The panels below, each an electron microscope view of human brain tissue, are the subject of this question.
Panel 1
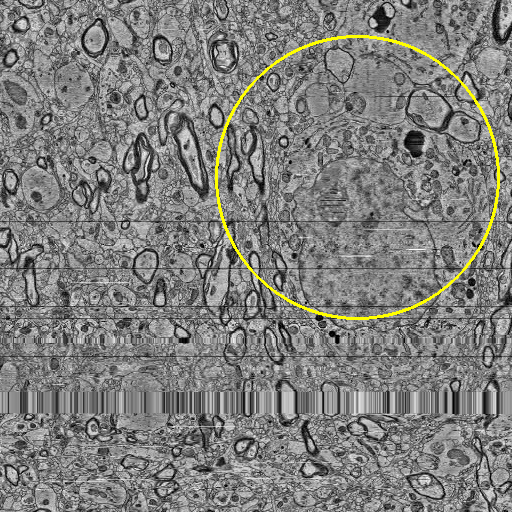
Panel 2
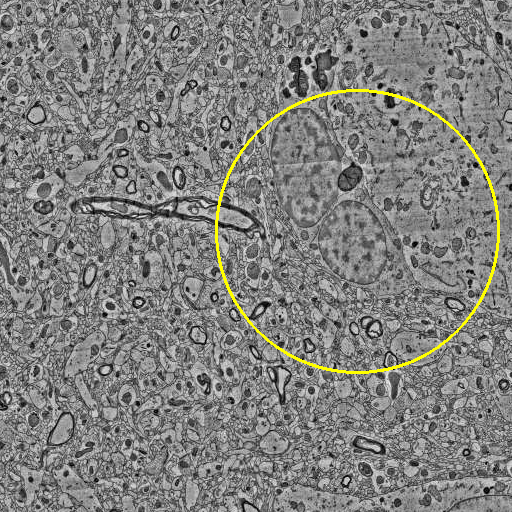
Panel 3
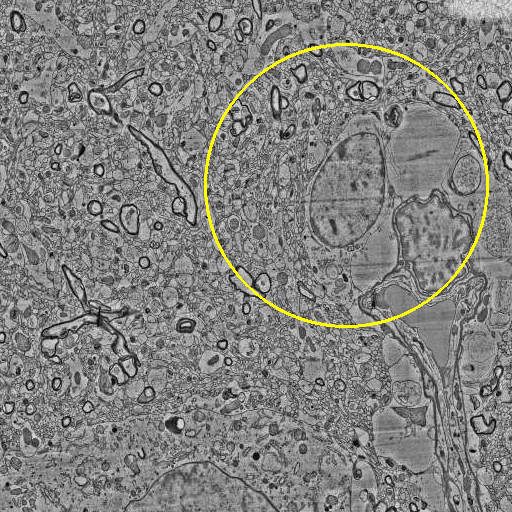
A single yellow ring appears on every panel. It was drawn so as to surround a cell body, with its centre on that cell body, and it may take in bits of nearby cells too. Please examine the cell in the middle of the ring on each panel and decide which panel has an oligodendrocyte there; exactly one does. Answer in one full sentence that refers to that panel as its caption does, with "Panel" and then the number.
Panel 2 is where the ring's central cell answers the question.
